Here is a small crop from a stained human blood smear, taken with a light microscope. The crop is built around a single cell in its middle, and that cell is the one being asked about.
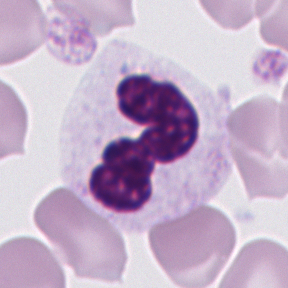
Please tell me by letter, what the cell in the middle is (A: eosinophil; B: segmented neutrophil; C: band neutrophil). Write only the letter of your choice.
B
